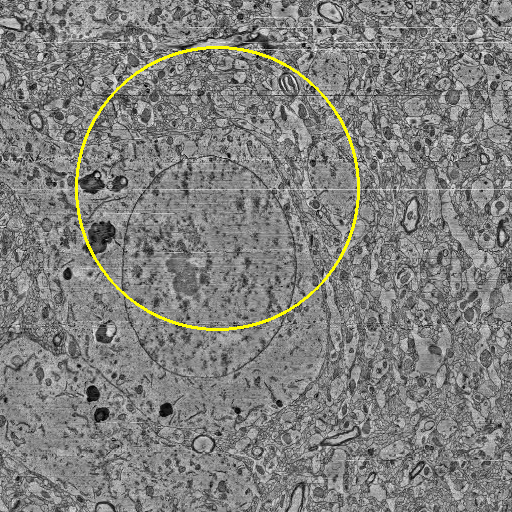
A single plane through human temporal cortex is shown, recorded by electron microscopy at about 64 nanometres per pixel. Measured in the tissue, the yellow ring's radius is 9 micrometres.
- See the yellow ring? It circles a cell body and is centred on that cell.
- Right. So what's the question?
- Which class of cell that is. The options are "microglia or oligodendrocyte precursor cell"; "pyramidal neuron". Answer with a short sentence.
The centre of the ring holds a pyramidal neuron.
